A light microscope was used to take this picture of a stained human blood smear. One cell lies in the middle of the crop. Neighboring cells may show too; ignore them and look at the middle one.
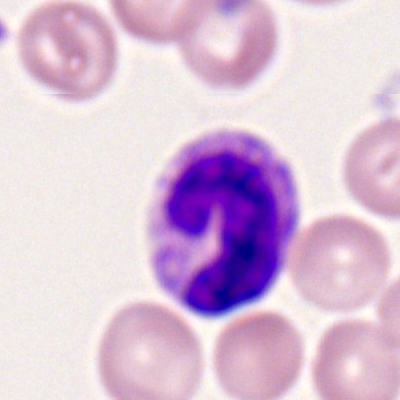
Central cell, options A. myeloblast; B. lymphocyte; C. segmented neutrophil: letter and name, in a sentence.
In the centre of the crop there is a segmented neutrophil, making option C correct.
